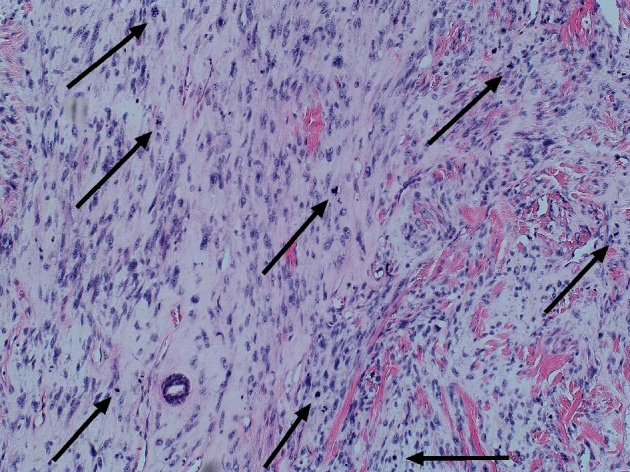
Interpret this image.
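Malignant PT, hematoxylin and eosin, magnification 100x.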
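This is a densely cellular tumour stroma made of spindle-shaped cells with scattered dividing cells. Over most of the field, plump oval to elongated purple nuclei lie crowded in a pale pink, loosely fibrillar background. They run in vague streams and fascicles. The nuclei vary in size and shape, and some are larger and darker than others. Scattered among them are small, very dark, condensed chromatin clumps. Toward the right and lower right, bright pink collagen bundles and small red-filled vessels break up the cellular areas.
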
